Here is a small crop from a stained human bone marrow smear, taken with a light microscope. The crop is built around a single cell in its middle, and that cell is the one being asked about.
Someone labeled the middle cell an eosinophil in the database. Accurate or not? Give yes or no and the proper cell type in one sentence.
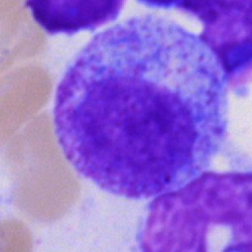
No, at the middle of the crop is a promyelocyte, not an eosinophil.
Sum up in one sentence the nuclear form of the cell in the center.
There is one compact nucleus, and its shape is round, oval or kidney-like.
